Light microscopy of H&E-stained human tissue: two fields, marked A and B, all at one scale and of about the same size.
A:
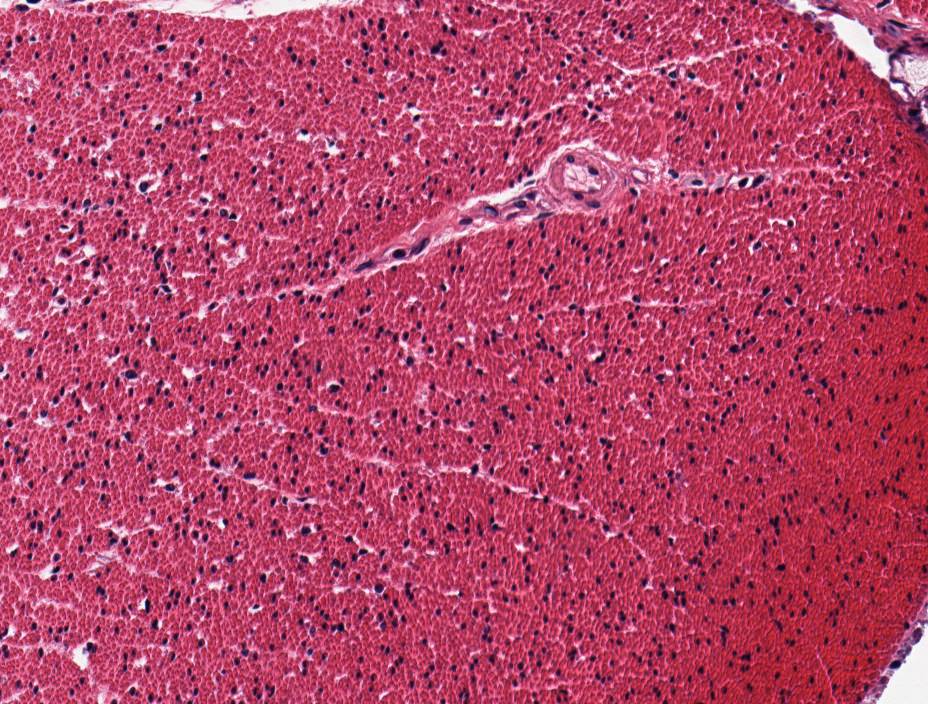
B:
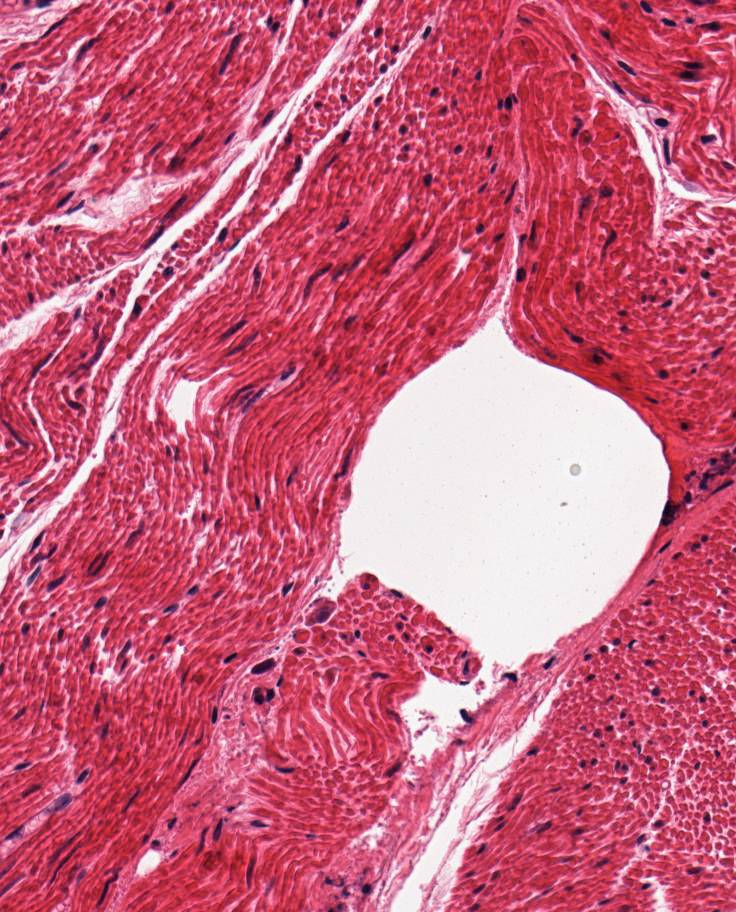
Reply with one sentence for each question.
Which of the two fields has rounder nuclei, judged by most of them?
On the whole the nuclei of picture A are rounder than those of picture B.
